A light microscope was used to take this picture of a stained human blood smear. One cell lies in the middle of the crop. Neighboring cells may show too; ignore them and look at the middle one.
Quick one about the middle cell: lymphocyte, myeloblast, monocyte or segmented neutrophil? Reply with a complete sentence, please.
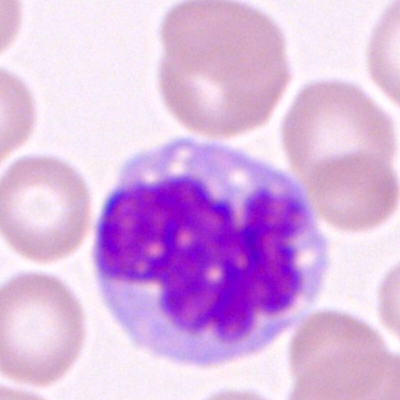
Located at the centre of the crop is a monocyte.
